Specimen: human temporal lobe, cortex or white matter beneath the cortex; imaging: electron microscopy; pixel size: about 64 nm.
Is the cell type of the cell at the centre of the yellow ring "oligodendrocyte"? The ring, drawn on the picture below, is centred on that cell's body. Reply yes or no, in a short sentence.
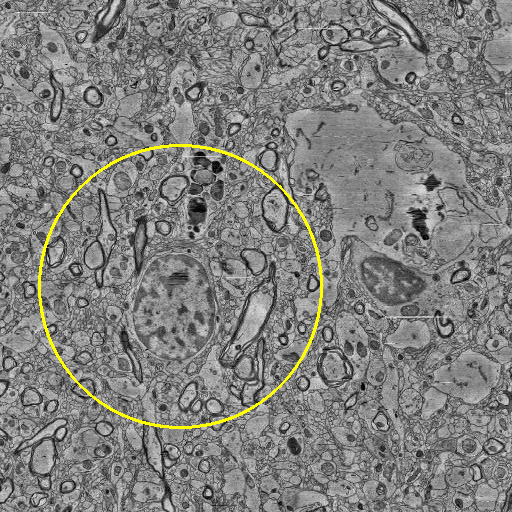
No, its cell type is another.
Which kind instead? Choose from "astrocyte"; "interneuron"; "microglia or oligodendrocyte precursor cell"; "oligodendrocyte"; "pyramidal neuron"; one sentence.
Instead, what sits at the centre of the ring is a microglial cell or oligodendrocyte precursor cell.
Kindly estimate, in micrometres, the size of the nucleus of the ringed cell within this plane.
Roughly 7 by 5 micrometres is the size of the nucleus in this plane.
